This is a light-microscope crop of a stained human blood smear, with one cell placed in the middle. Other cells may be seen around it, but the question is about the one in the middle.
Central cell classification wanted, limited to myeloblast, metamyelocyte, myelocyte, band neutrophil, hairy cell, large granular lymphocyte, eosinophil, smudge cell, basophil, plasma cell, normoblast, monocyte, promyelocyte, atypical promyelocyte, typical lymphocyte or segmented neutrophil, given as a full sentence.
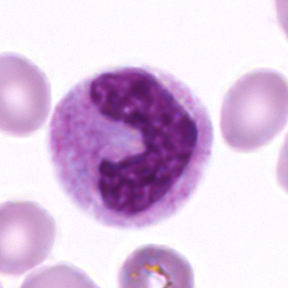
The cell sitting right in the middle is a band neutrophil.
